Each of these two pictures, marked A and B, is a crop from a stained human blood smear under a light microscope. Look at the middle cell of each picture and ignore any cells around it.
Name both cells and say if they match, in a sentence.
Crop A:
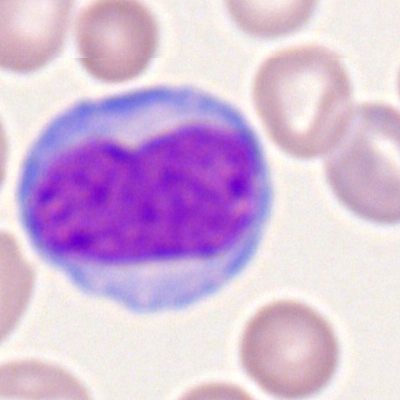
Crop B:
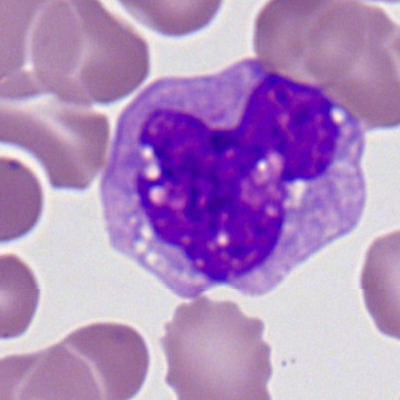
Yes, both crops show monocytes, each crop centred on one of them.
